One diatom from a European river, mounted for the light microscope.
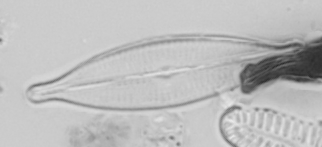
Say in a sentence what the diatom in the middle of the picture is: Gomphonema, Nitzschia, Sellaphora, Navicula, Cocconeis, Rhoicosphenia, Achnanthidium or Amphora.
This is Navicula.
